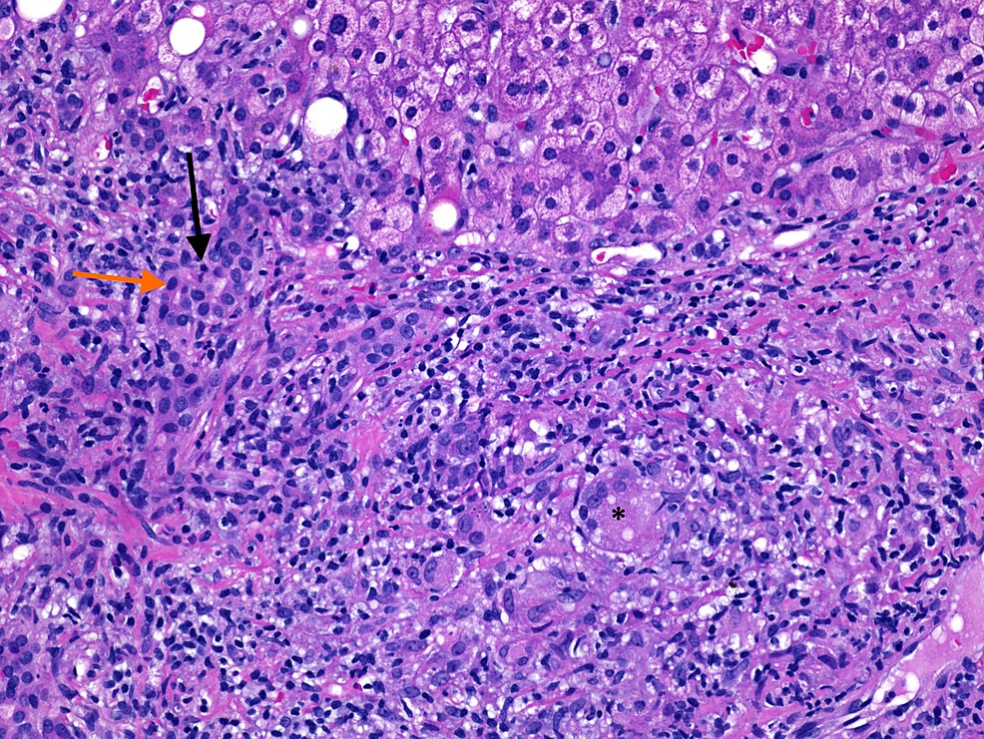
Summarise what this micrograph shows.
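Liver with hepatocytes in plates across the top and an expanded, inflamed portal tract below. Hepatocytes are large and polygonal, with pink granular cytoplasm and round central nuclei; a few clear round fat vacuoles lie among them. The portal tract holds pink fibrous strands and dense small dark lymphocytes. At its upper left edge, small cuboidal duct-like epithelial cells form cords and clusters infiltrated by lymphocytes. Lower centre, a rounded collection of pale epithelioid cells with abundant pink cytoplasm forms a granuloma containing a large cell with several nuclei. Lymphocytes surround the granuloma.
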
